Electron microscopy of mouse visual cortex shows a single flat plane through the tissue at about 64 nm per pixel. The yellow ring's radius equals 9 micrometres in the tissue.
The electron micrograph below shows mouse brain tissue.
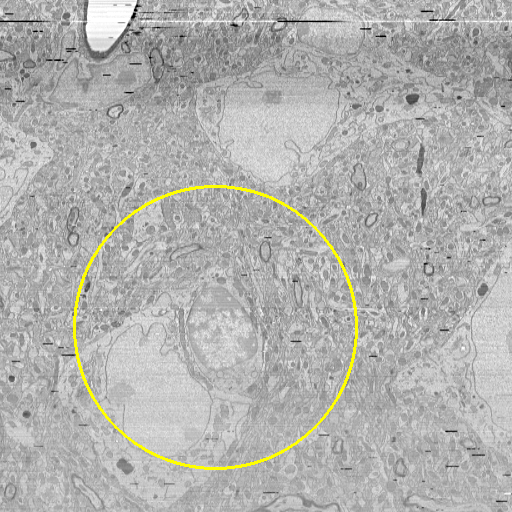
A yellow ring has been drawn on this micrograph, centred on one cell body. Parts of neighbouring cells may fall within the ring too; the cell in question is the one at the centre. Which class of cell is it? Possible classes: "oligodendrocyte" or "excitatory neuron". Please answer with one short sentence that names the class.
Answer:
In the centre of the ring sits an oligodendrocyte.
